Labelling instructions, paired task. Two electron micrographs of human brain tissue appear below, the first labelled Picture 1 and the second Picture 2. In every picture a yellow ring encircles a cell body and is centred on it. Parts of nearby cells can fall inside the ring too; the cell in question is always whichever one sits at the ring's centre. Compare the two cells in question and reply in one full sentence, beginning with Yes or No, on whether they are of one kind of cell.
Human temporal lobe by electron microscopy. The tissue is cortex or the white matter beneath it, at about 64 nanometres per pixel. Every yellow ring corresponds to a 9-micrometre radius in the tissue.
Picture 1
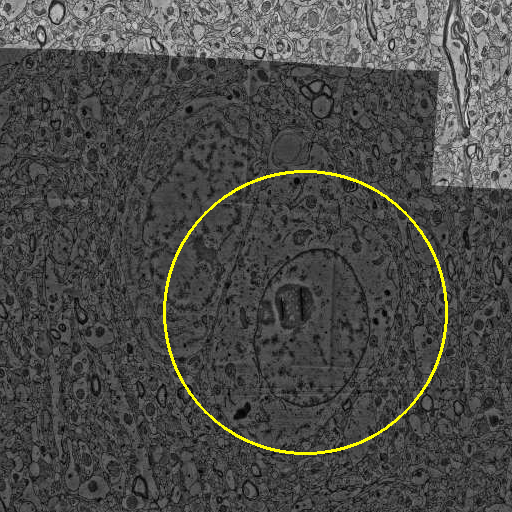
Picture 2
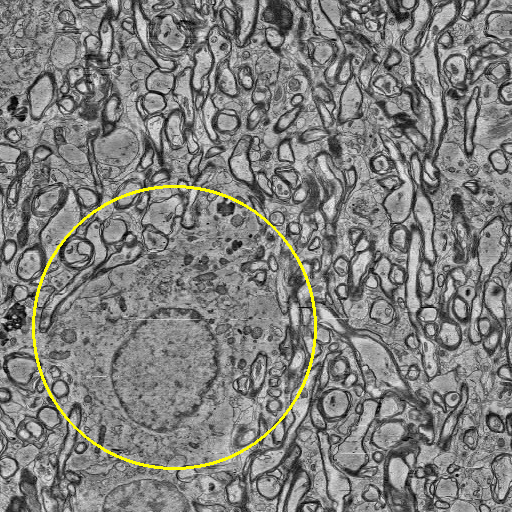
No, the two cells at the ring centres in Picture 1 and Picture 2 are of two kinds.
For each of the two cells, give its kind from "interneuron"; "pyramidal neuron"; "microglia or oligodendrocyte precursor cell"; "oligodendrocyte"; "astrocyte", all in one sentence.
The first picture has a pyramidal neuron in its ring, the second has an astrocyte.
